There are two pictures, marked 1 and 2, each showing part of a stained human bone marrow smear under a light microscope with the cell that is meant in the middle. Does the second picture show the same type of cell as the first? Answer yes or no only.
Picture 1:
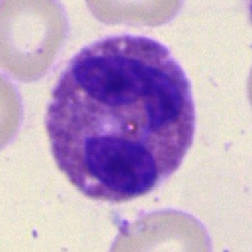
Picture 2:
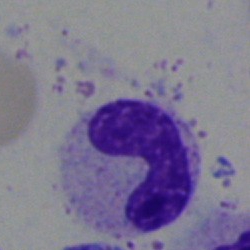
no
